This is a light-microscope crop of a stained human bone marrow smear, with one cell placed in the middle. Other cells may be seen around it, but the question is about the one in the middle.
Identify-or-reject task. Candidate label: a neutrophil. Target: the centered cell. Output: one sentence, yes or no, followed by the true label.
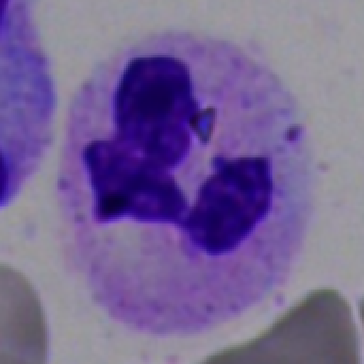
Yes, in the middle of the crop is a neutrophil.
